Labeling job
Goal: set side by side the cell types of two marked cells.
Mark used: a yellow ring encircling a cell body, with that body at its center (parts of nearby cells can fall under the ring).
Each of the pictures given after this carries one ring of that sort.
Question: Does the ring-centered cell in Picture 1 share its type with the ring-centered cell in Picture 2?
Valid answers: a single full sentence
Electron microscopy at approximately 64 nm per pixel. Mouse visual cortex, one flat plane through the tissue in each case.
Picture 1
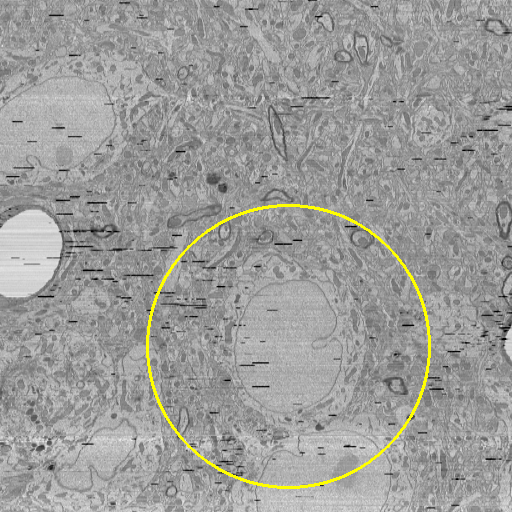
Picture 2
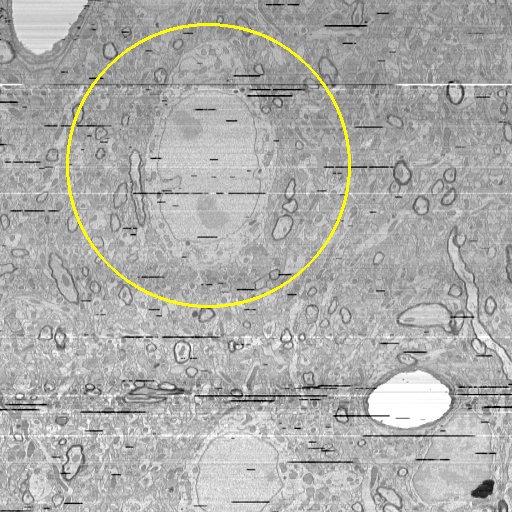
Yes, in Pictures 1 and 2 the cells at the ring centers share one type.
